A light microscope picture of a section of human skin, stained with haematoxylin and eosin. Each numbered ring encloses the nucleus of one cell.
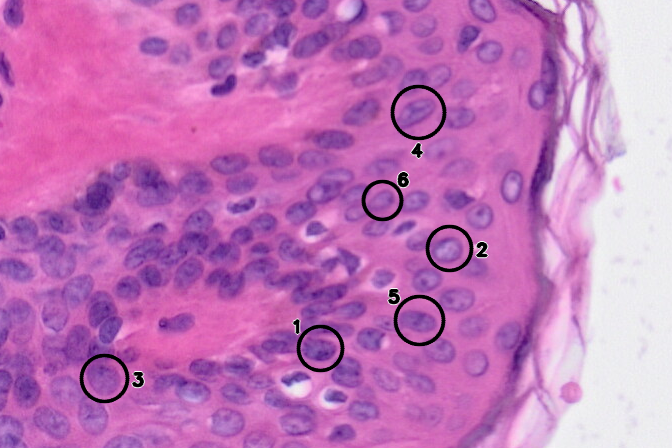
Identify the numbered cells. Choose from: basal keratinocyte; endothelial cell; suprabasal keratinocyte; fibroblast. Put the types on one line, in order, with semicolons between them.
basal keratinocyte; suprabasal keratinocyte; basal keratinocyte; suprabasal keratinocyte; suprabasal keratinocyte; suprabasal keratinocyte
